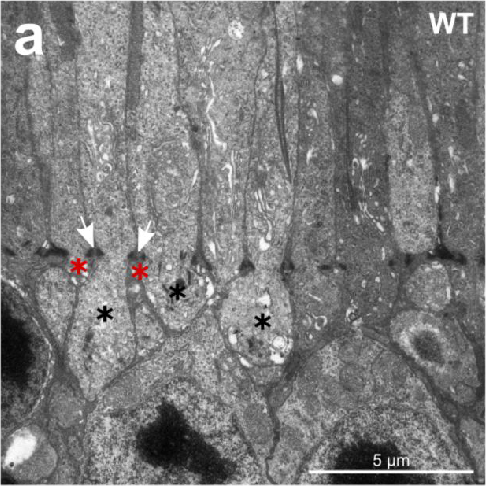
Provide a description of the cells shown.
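This electron micrograph shows the outer retina where photoreceptor cells meet the endfeet of Müller glial cells. Elongated cell processes run vertically in the upper half and end at a row of short electron-dense junctions. Below the junction row lie rounded photoreceptor profiles with finely granular cytoplasm, separated by narrow glial processes. Parts of dark, condensed nuclei show at the lower edge of the field. The junctions form a regular line across the tissue.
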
